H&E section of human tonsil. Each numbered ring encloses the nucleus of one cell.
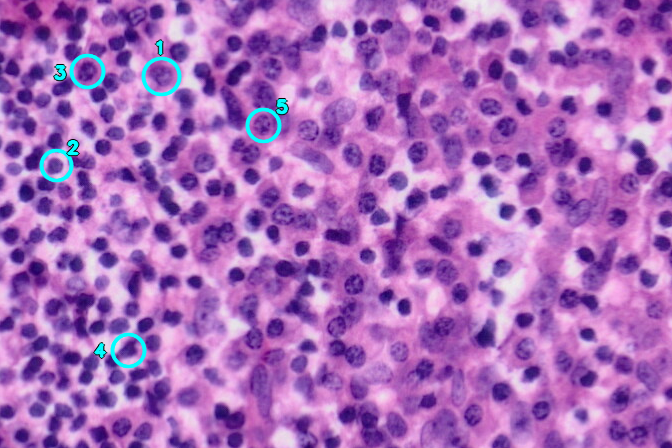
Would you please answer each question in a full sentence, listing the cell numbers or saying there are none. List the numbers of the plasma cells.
Identification: the cells with numbers 1, 3 and 5 are plasma cells.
